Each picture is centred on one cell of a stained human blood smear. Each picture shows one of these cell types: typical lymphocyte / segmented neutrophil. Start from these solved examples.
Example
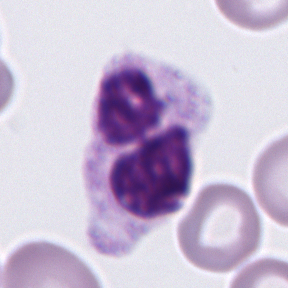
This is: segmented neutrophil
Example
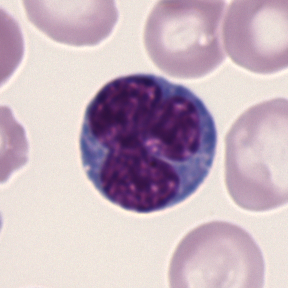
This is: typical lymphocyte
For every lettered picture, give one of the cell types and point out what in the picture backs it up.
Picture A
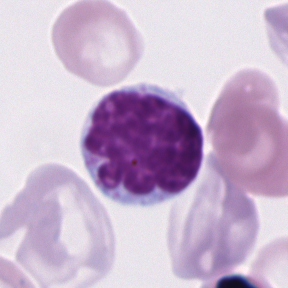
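typical lymphocyte. Evidence: The cytoplasm forms only a thin rim around the nucleus.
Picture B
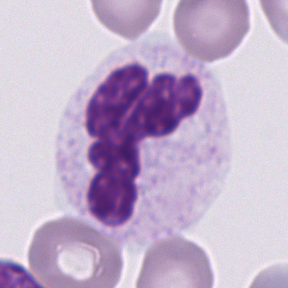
segmented neutrophil. Evidence: The cytoplasm is abundant and pale pinkish-lilac.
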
